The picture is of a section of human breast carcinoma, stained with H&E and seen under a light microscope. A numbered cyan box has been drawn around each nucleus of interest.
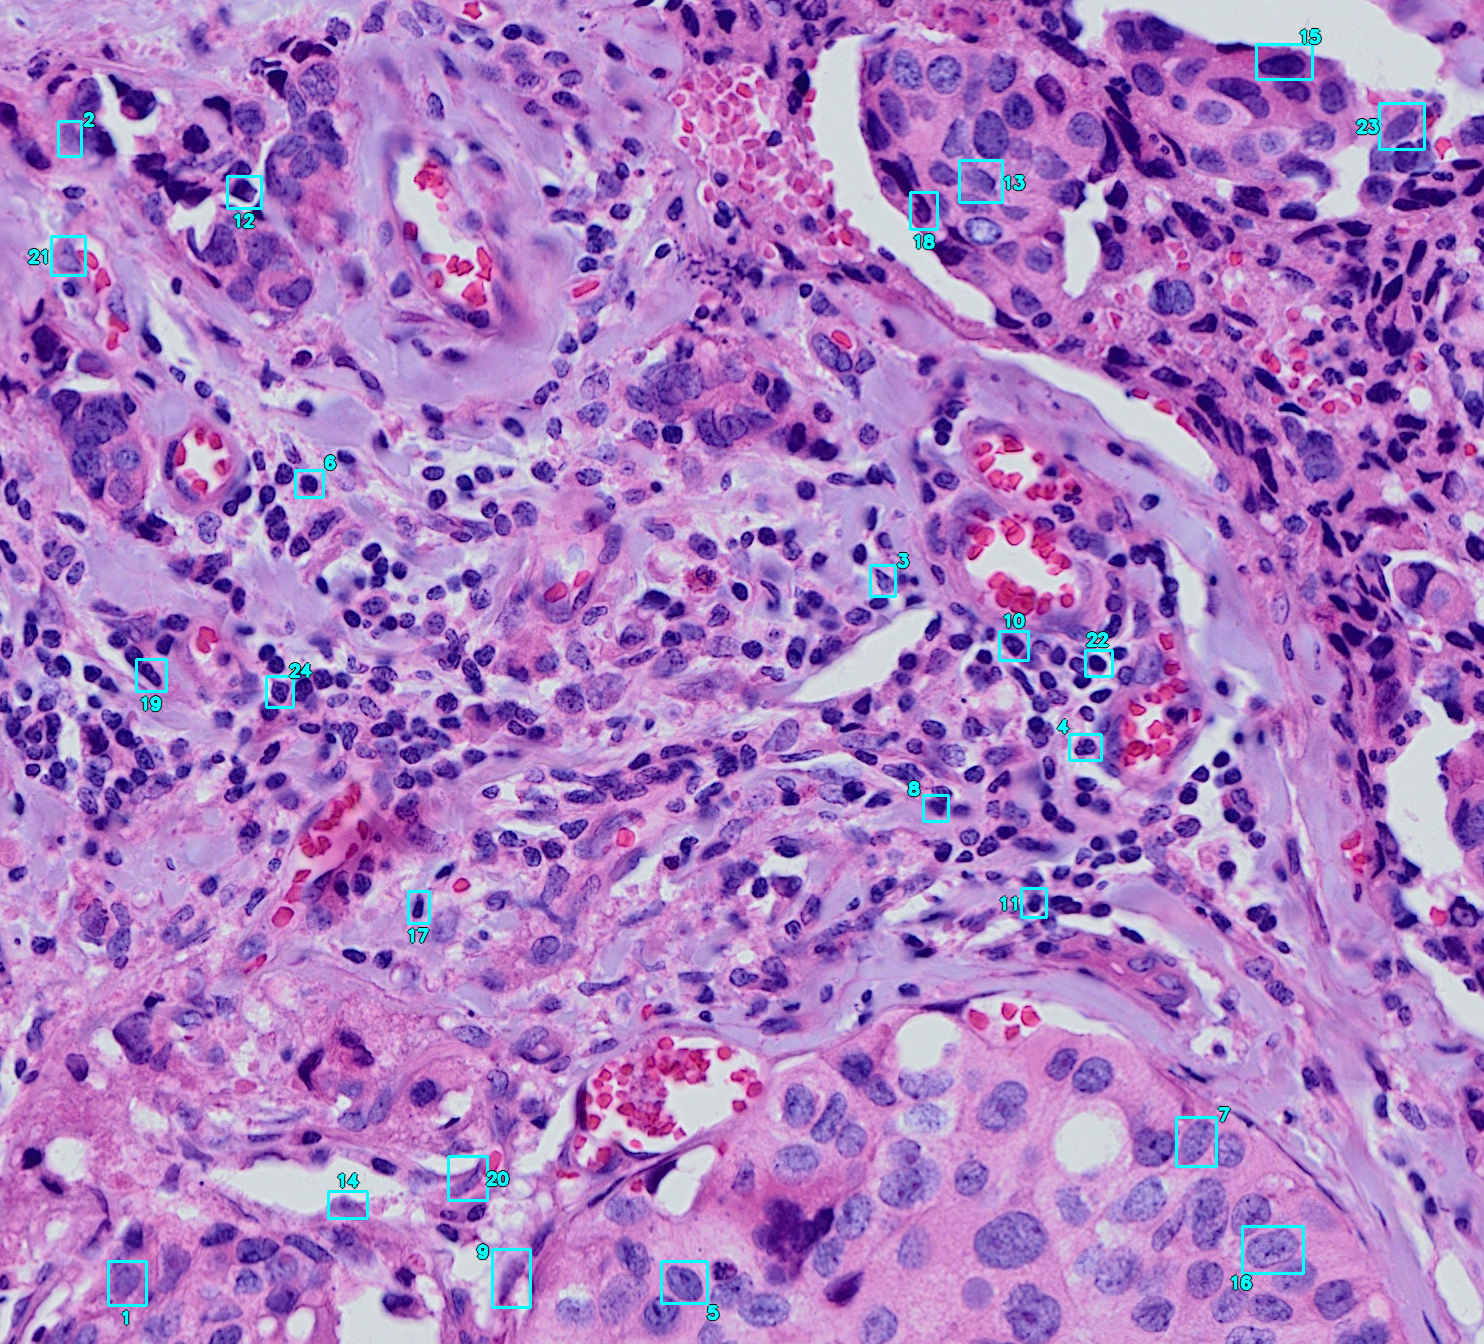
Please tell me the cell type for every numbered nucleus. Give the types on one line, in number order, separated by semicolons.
carcinoma cell; carcinoma cell; lymphocyte; lymphocyte; carcinoma cell; lymphocyte; carcinoma cell; lymphocyte; fibroblast; lymphocyte; lymphocyte; carcinoma cell; carcinoma cell; fibroblast; carcinoma cell; carcinoma cell; lymphocyte; carcinoma cell; lymphocyte; endothelial cell; endothelial cell; lymphocyte; carcinoma cell; lymphocyte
